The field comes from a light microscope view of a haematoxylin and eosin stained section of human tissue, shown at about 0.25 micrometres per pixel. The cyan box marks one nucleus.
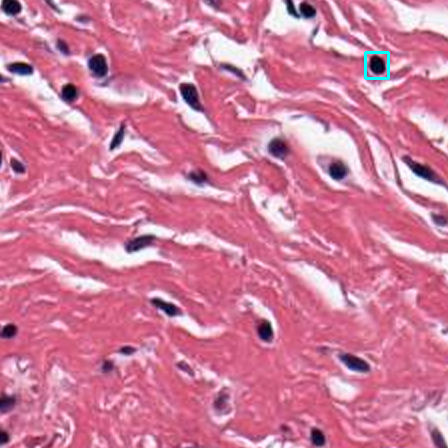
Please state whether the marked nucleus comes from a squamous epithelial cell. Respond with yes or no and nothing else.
no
